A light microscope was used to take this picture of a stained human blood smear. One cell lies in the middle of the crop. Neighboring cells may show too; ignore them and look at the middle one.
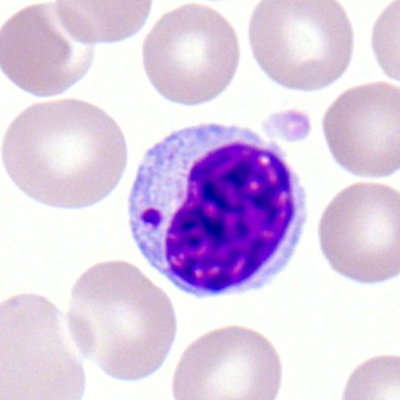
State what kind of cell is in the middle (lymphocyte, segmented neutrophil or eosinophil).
lymphocyte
